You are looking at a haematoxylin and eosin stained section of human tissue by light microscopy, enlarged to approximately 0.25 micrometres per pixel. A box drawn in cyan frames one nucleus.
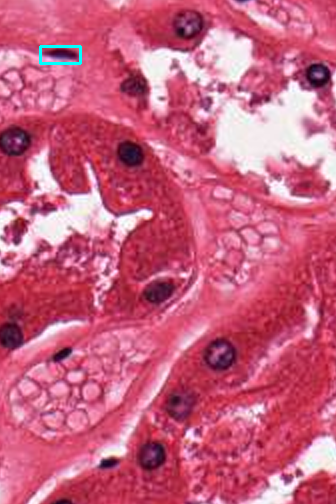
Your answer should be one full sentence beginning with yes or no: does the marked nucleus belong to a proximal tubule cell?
No, the marked nucleus is held by a supporting cell and not by a proximal tubule cell.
